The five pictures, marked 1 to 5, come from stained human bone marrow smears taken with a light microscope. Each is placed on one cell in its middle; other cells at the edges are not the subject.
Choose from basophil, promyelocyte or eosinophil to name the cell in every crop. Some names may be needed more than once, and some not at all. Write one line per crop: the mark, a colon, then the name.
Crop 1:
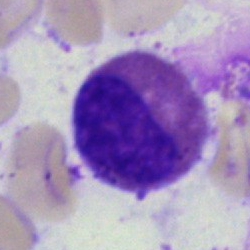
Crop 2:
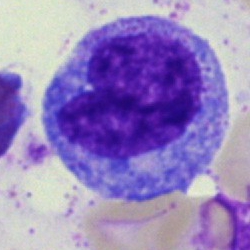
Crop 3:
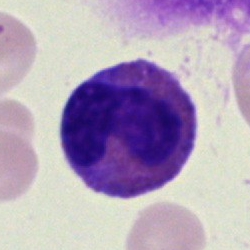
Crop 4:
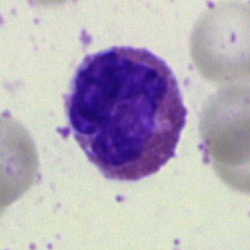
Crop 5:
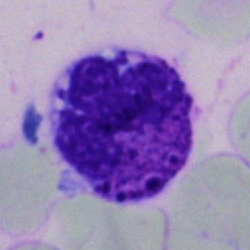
1: eosinophil
2: promyelocyte
3: eosinophil
4: eosinophil
5: basophil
